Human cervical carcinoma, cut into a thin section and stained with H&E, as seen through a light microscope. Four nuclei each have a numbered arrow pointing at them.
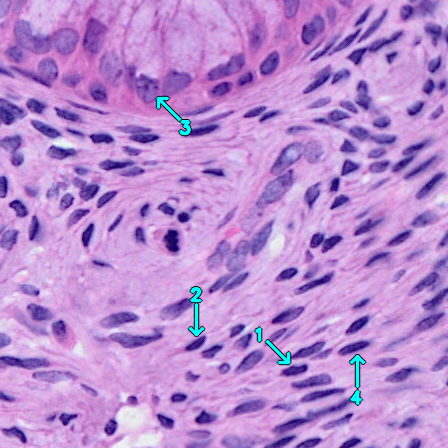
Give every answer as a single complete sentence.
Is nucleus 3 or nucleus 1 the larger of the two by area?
Of the two, number 3 is bigger and takes up about 2 times the area of number 1.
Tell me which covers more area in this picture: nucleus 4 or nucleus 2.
Number 4 is larger; its area is about 1.5 times that of number 2.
